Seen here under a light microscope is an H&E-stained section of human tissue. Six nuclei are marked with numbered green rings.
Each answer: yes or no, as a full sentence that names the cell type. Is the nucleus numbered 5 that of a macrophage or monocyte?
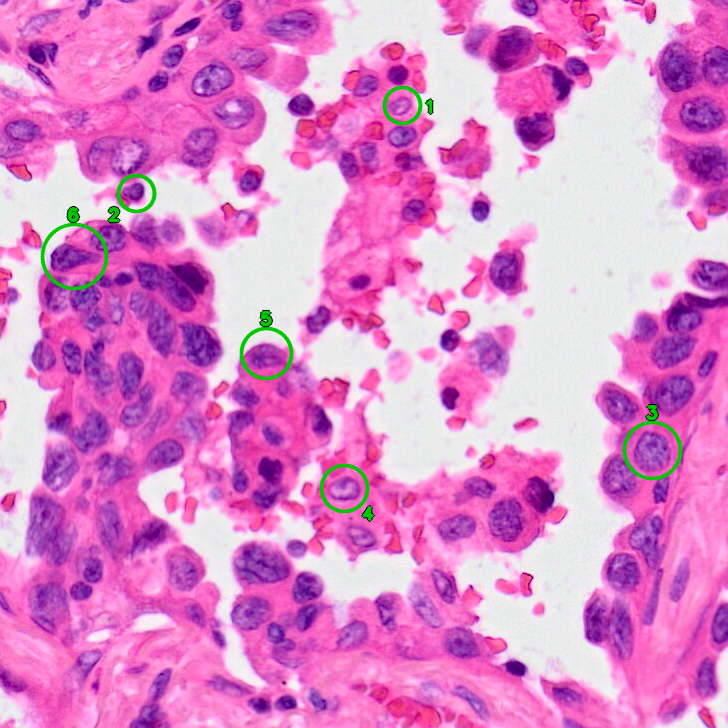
No, cell 5 is to be classed as a carcinoma cell, not a macrophage or monocyte.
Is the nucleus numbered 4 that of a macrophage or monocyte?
Yes, the one with the number 4 is a macrophage or monocyte.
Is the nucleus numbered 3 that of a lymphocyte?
No, cell 3 is identified not as a lymphocyte but as a carcinoma cell.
